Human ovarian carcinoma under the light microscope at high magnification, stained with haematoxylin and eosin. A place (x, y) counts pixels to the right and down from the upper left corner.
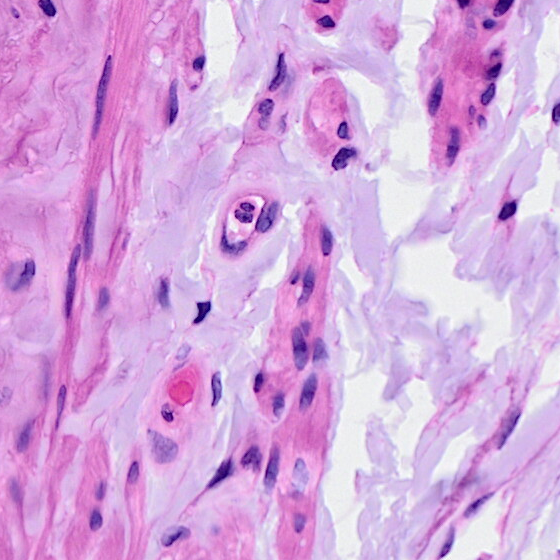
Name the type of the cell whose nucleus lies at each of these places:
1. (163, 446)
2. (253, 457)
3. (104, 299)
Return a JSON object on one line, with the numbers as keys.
{"1": "endothelial cell", "2": "endothelial cell", "3": "smooth muscle cell"}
